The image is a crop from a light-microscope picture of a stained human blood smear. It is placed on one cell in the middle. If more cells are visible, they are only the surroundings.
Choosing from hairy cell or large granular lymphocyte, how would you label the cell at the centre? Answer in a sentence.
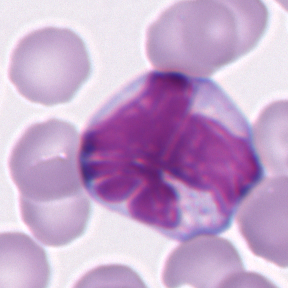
Of the cells in this crop, the central one is a large granular lymphocyte.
